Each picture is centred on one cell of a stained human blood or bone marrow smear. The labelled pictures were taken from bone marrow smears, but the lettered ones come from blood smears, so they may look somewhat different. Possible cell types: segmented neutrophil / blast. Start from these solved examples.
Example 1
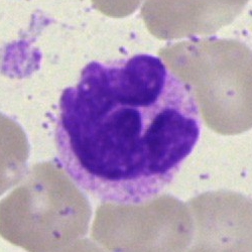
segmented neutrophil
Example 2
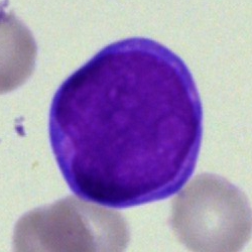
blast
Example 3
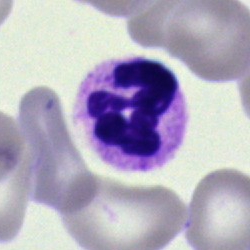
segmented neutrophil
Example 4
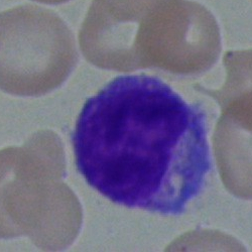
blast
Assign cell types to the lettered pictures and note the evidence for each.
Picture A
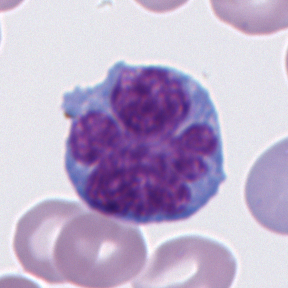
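Label: blast. The cytoplasm shows as a narrow rim around and between the nuclear lobes.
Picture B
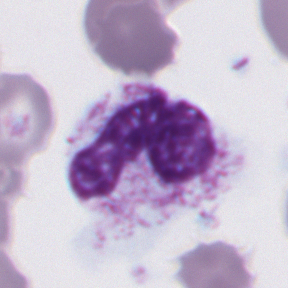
Label: segmented neutrophil. Between the granules the cytoplasm is pale and nearly colourless.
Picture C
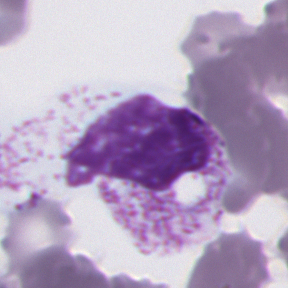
Label: segmented neutrophil. The background of the cytoplasm is very pale, nearly colourless.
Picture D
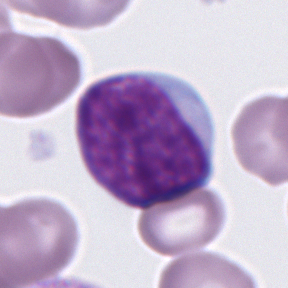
Label: blast. The cytoplasm forms a narrow crescent along the upper right side of the cell.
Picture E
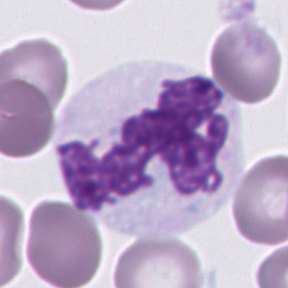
Label: segmented neutrophil. The cytoplasm is abundant and pale greyish-lavender.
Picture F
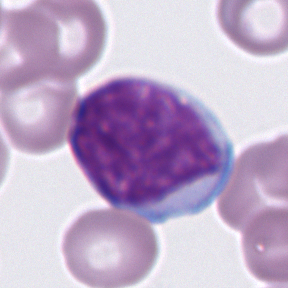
Label: blast. The cytoplasm forms a narrow crescent that is widest at the lower right.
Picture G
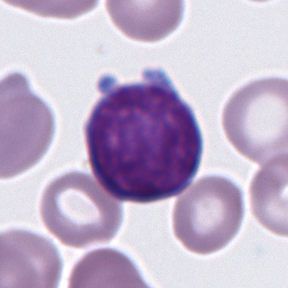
Label: blast. The cytoplasm is only a very thin deep-blue rim around the nucleus.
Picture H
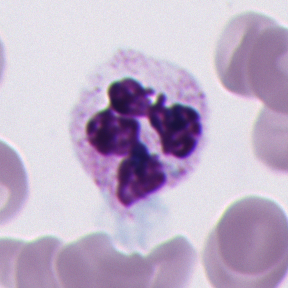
Label: segmented neutrophil. The cytoplasm is abundant and pale pinkish-lilac.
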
